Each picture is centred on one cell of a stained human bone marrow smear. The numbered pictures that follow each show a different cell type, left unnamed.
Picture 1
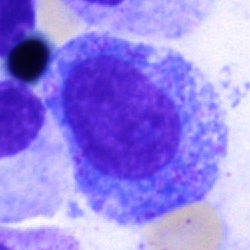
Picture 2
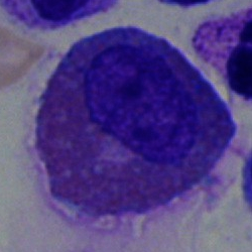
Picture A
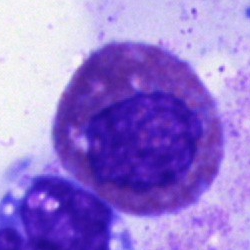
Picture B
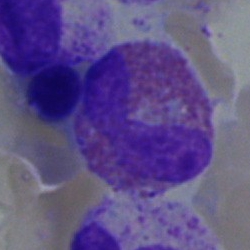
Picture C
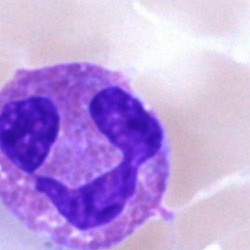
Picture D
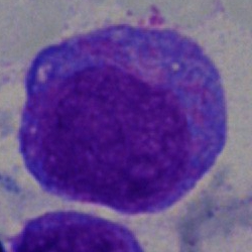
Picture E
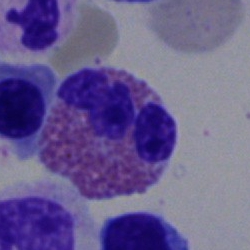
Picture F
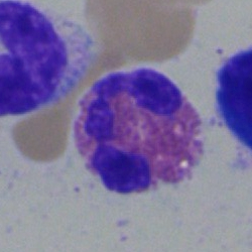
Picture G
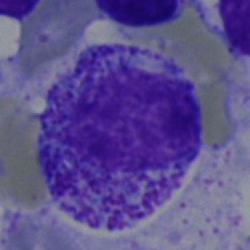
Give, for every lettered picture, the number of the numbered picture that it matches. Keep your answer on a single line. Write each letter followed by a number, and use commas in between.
A 2, B 2, C 2, D 1, E 2, F 2, G 1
